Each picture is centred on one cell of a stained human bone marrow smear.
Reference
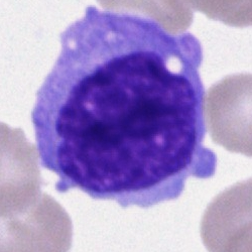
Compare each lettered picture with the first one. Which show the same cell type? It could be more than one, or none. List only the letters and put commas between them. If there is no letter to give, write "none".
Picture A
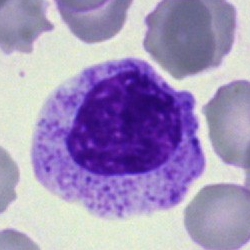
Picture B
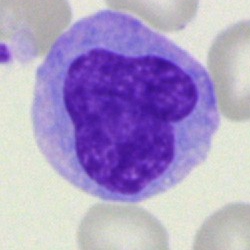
B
